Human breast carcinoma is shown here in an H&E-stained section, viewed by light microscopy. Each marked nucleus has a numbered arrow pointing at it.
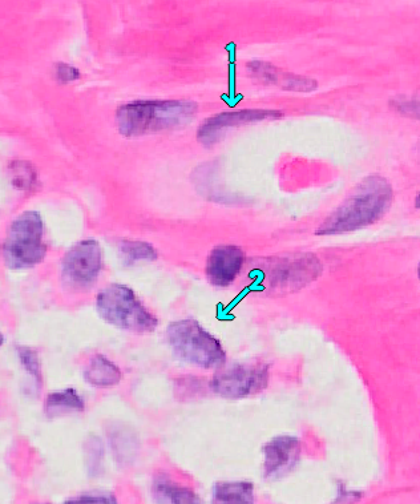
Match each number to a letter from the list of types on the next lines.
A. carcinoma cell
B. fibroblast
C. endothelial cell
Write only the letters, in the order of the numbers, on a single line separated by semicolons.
C; A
